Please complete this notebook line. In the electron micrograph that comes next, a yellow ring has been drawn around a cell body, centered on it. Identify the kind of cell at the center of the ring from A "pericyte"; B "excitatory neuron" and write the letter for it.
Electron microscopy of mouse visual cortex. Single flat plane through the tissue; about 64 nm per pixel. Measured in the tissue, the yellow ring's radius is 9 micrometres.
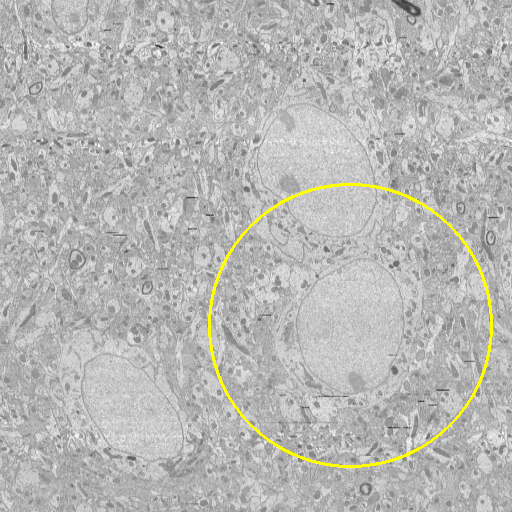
B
